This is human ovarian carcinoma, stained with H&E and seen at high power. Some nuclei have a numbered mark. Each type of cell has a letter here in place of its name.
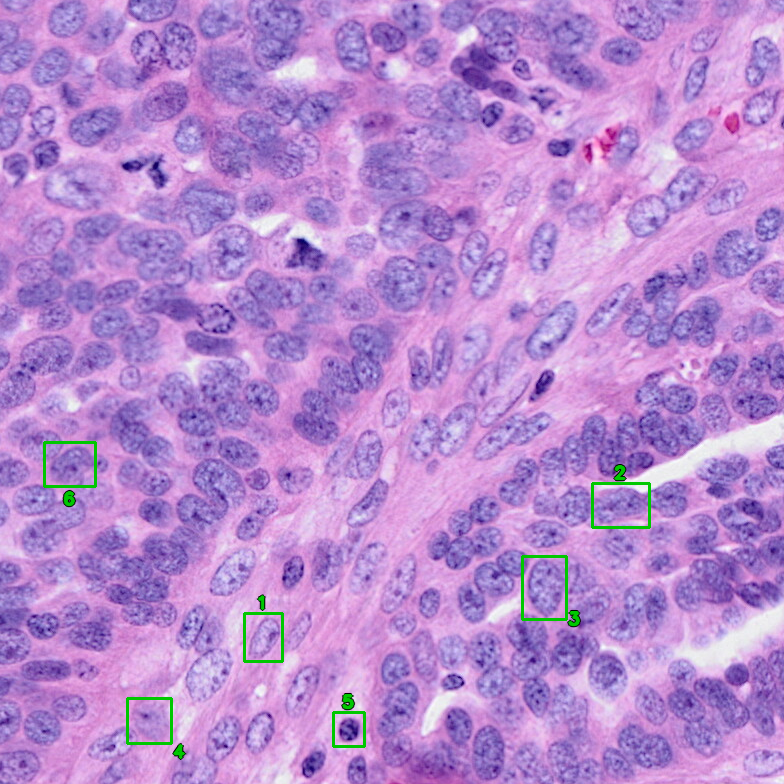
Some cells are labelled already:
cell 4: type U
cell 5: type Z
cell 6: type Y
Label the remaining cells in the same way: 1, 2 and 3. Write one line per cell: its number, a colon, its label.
1: type U
2: type Y
3: type Y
